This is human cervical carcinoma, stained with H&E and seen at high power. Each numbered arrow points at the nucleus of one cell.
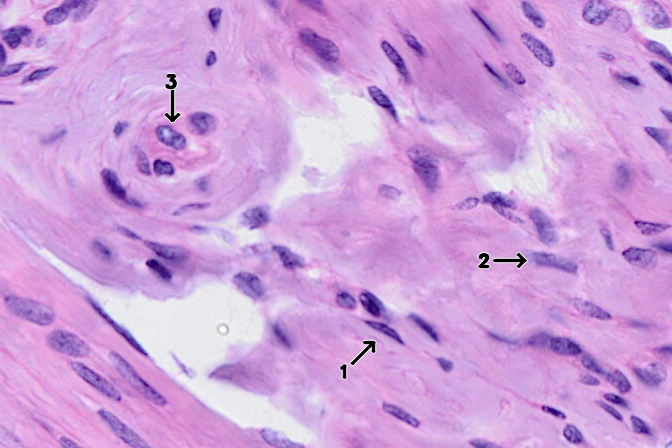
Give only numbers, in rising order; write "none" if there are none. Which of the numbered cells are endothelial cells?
3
